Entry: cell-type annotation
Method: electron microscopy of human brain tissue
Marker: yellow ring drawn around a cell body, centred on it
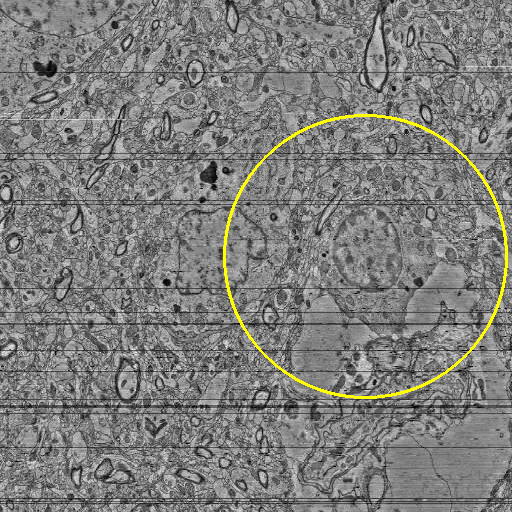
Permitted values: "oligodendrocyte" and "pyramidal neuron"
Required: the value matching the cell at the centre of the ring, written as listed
oligodendrocyte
